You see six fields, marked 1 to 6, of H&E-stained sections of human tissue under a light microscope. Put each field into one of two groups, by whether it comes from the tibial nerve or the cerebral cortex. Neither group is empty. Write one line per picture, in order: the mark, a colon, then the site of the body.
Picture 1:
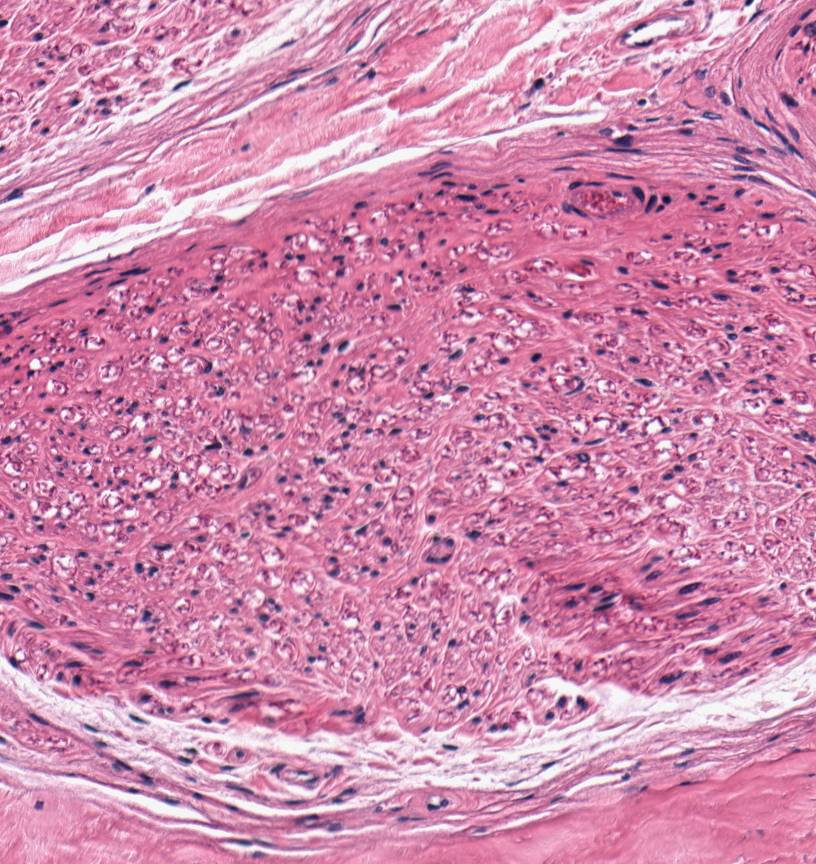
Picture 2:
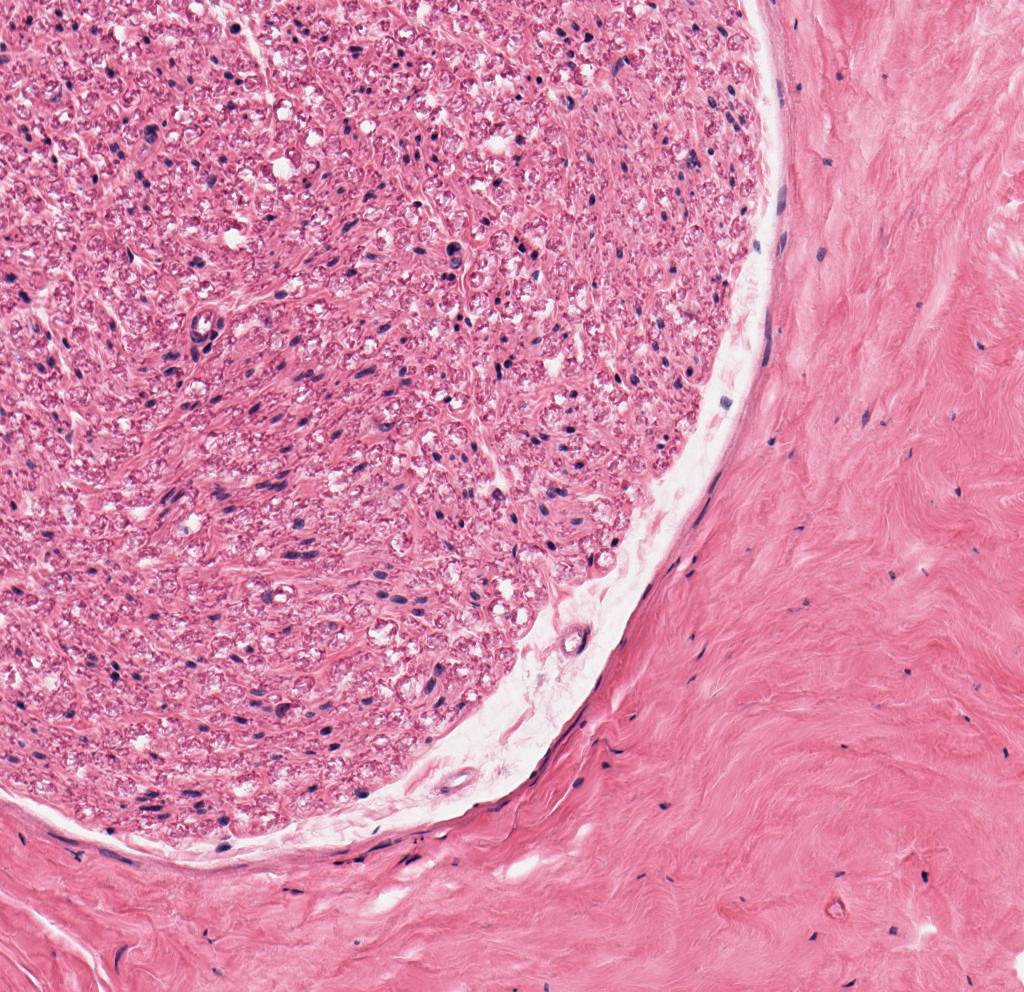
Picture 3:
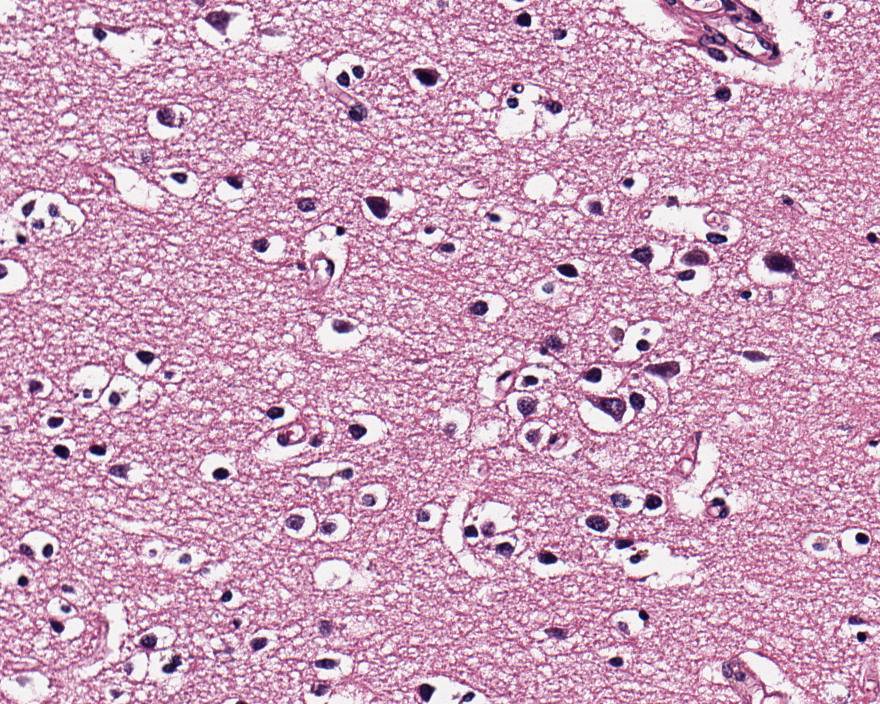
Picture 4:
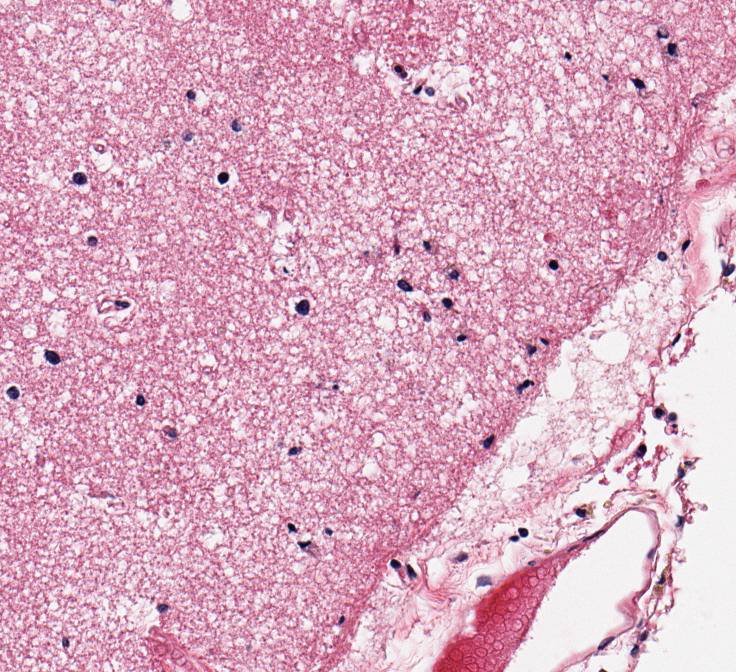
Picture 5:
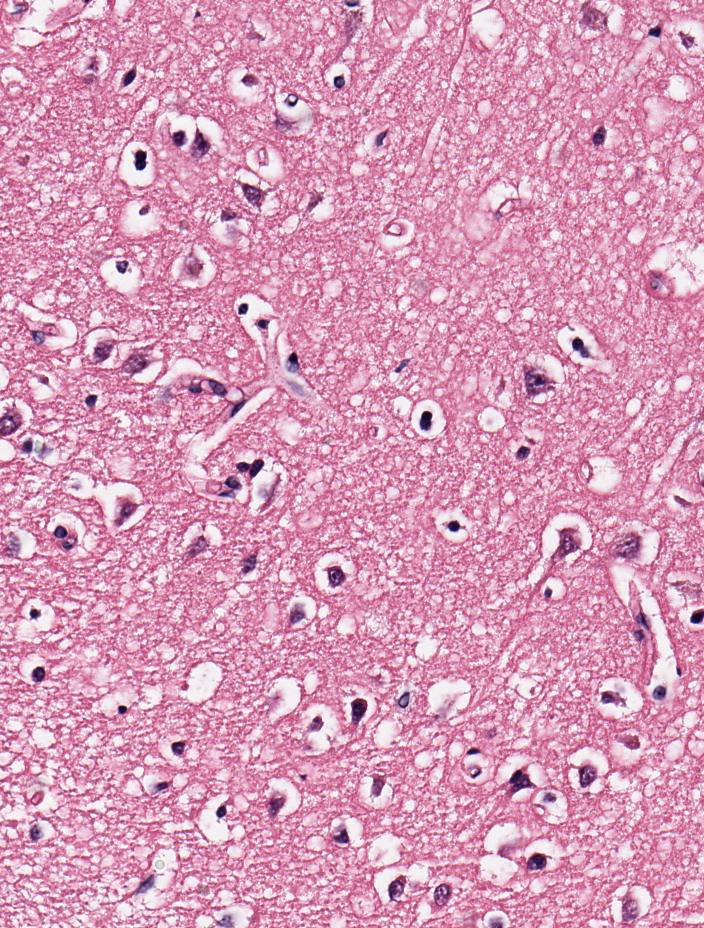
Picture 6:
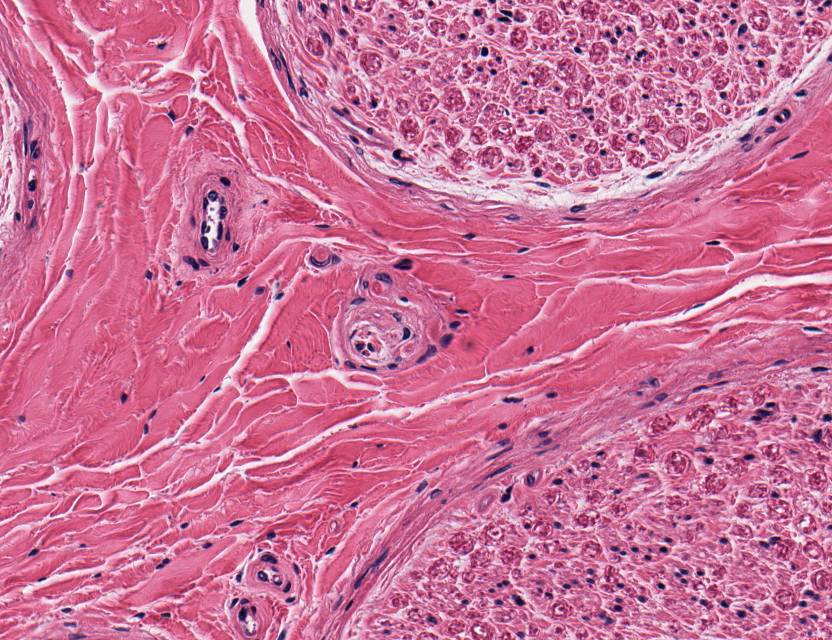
1: tibial nerve
2: tibial nerve
3: cerebral cortex
4: cerebral cortex
5: cerebral cortex
6: tibial nerve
